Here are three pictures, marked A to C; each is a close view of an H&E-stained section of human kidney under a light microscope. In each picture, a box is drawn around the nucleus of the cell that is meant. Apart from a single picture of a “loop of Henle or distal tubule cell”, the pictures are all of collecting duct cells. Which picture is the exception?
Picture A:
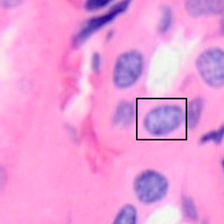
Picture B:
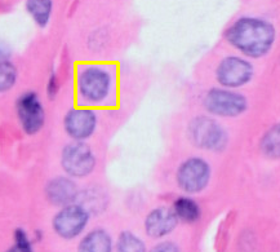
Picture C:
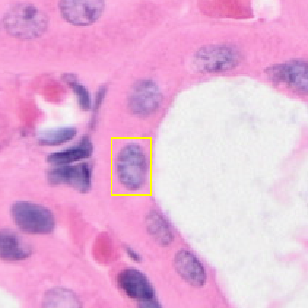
C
